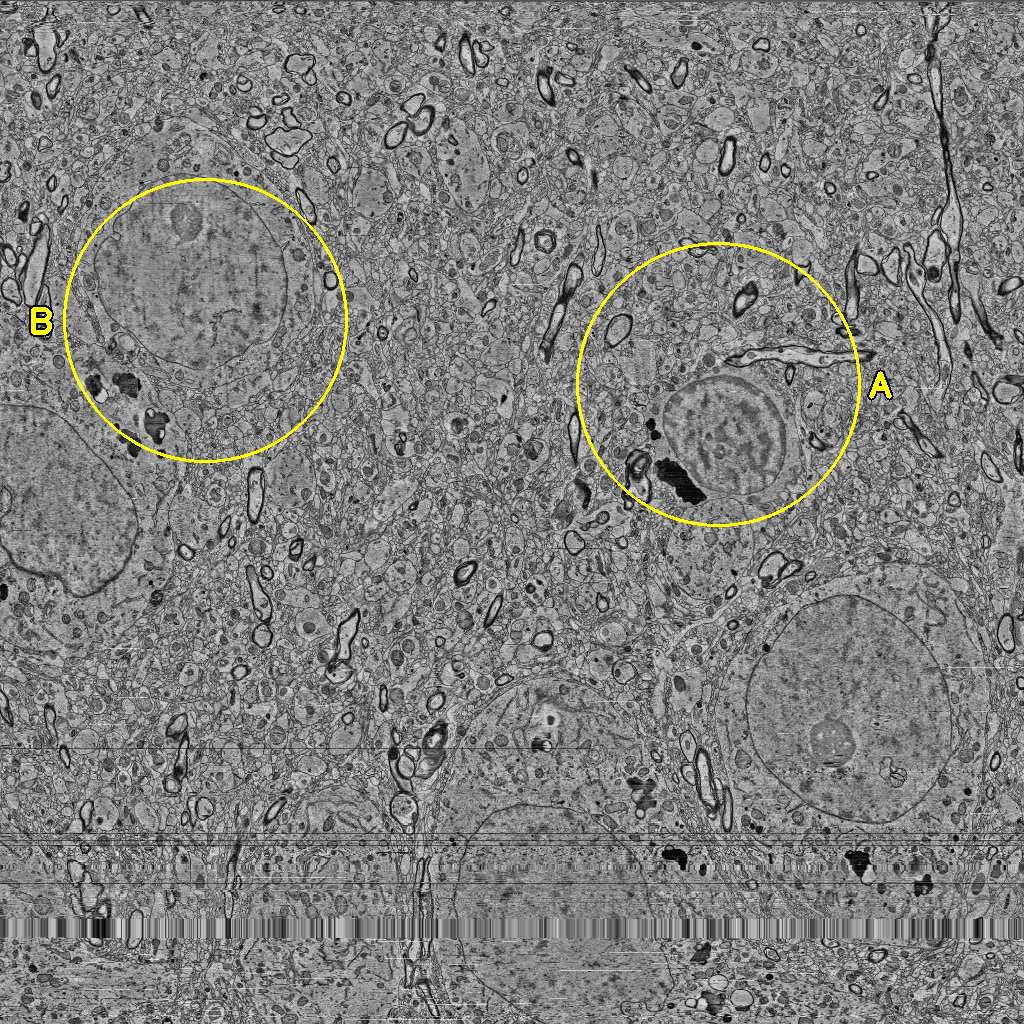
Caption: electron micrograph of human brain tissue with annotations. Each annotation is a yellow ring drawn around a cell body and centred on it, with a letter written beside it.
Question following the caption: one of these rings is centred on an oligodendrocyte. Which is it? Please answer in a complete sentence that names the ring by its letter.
The ring with the letter A is centred on it.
